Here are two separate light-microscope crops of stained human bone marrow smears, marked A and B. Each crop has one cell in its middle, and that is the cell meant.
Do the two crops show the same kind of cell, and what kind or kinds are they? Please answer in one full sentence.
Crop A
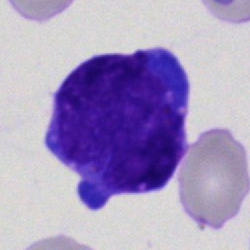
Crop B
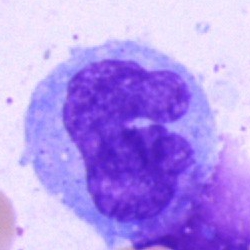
No, crop A contains a blast, while crop B contains a monocyte.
